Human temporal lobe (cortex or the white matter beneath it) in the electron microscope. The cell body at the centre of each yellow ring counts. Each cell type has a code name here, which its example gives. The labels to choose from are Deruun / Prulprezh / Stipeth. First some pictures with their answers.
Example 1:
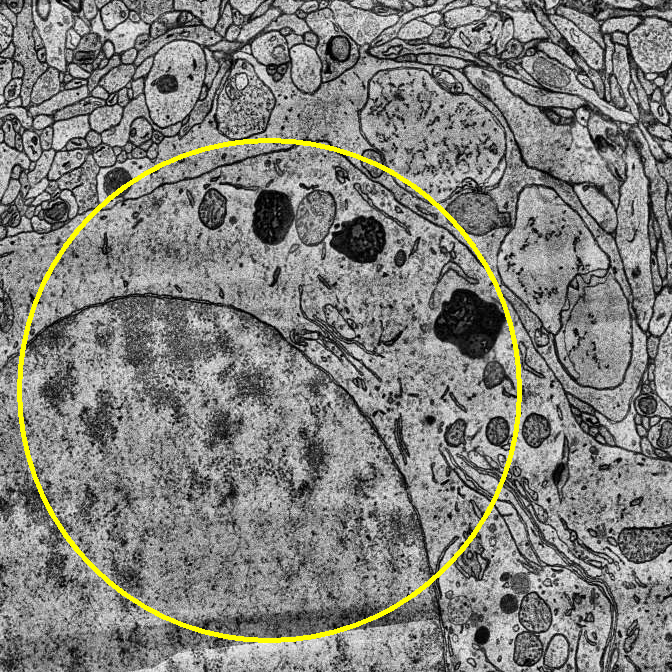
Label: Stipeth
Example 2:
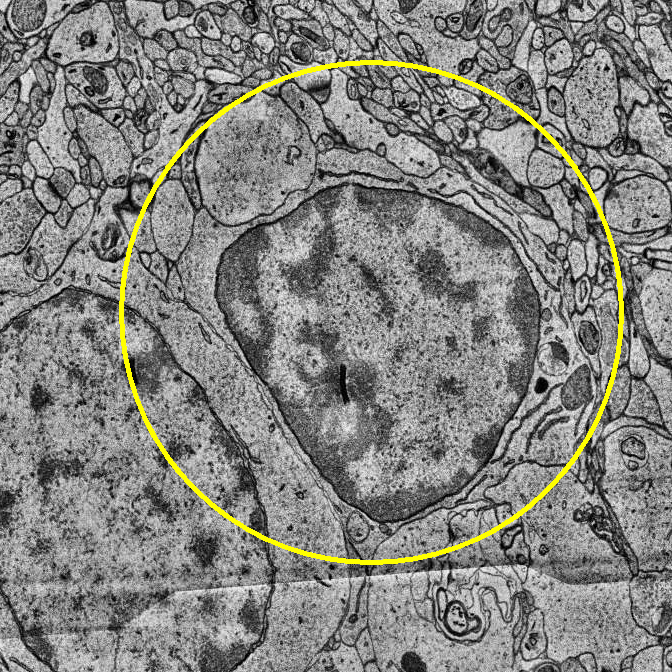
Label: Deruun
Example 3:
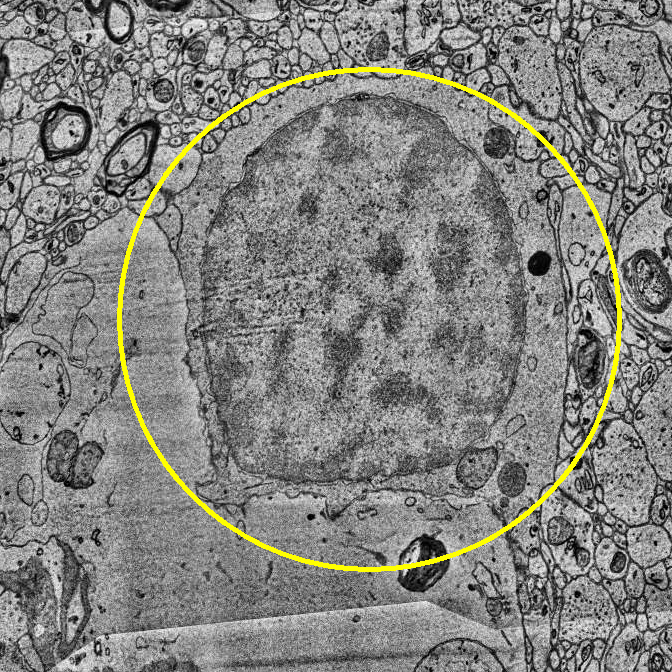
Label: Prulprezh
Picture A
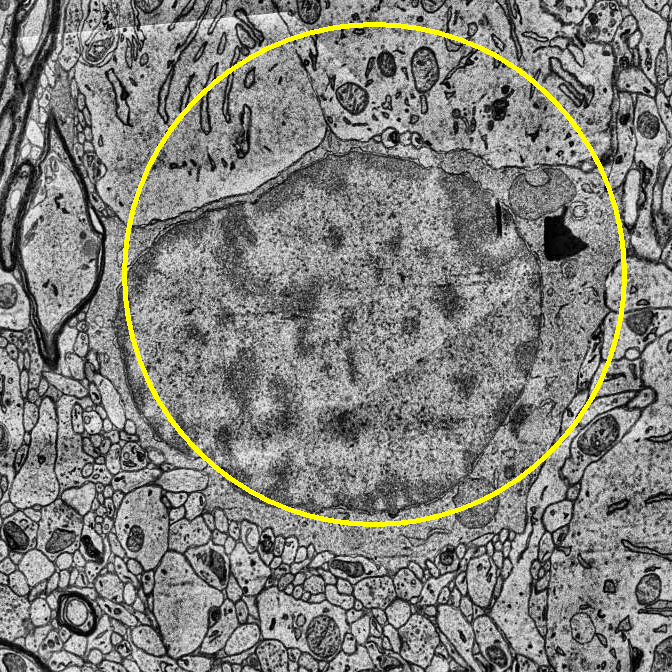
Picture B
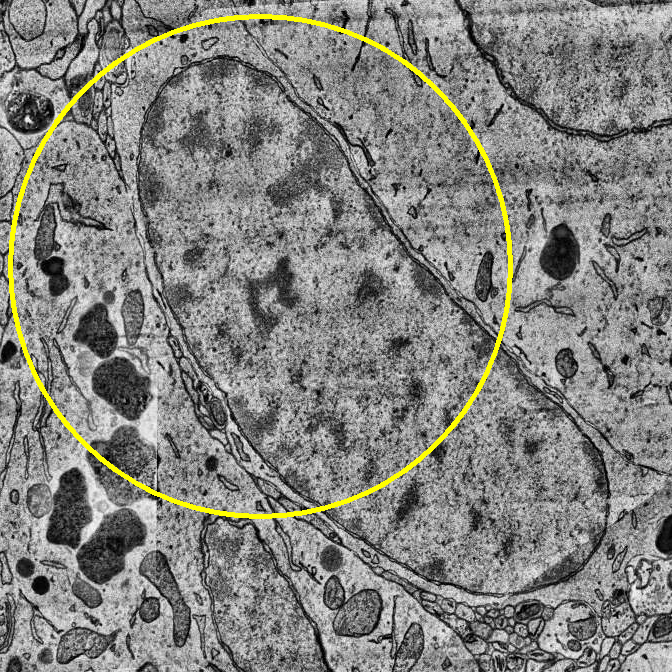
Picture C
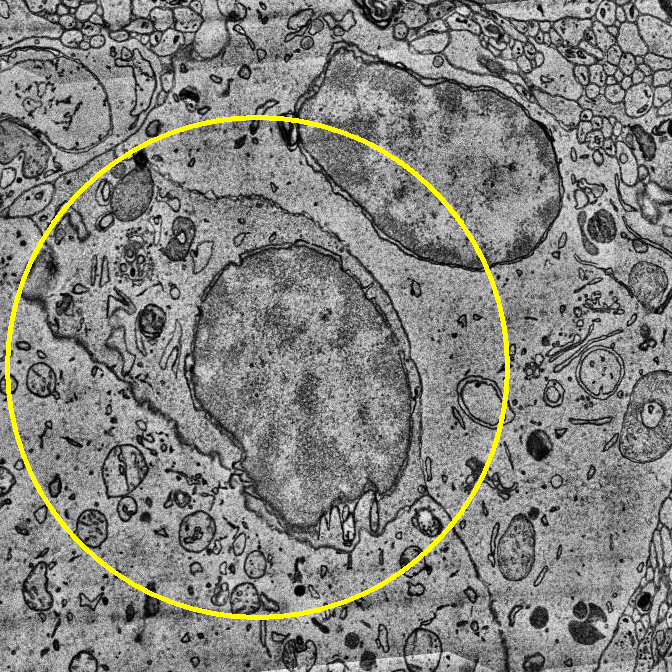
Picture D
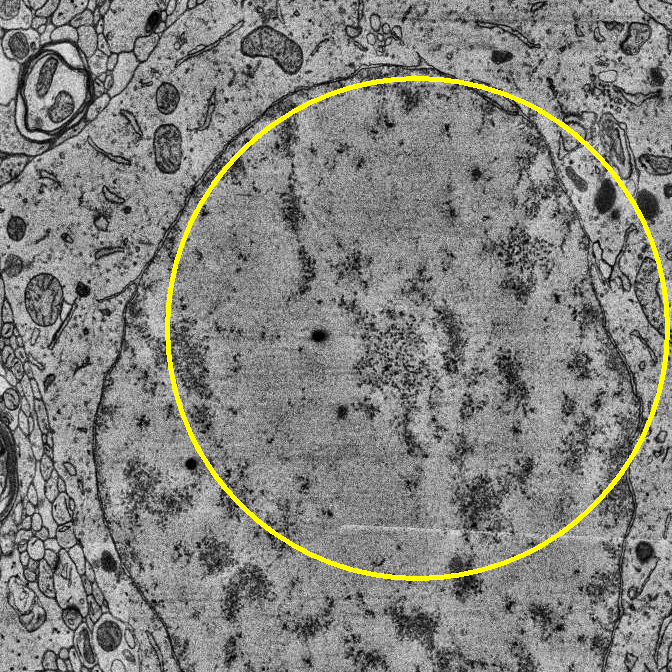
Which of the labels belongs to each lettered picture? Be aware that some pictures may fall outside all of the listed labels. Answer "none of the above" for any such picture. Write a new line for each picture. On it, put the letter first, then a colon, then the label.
A: Prulprezh
B: Deruun
C: Prulprezh
D: Stipeth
